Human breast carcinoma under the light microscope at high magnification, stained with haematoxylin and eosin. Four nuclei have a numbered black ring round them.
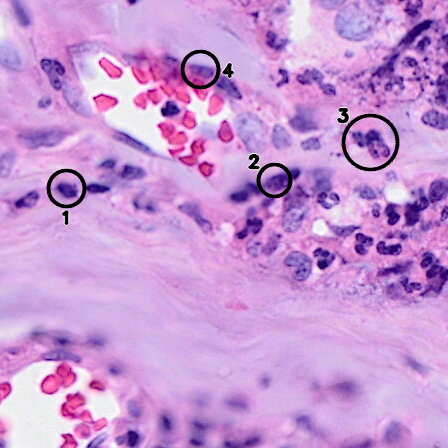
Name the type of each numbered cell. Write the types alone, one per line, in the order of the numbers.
lymphocyte
lymphocyte
lymphocyte
endothelial cell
